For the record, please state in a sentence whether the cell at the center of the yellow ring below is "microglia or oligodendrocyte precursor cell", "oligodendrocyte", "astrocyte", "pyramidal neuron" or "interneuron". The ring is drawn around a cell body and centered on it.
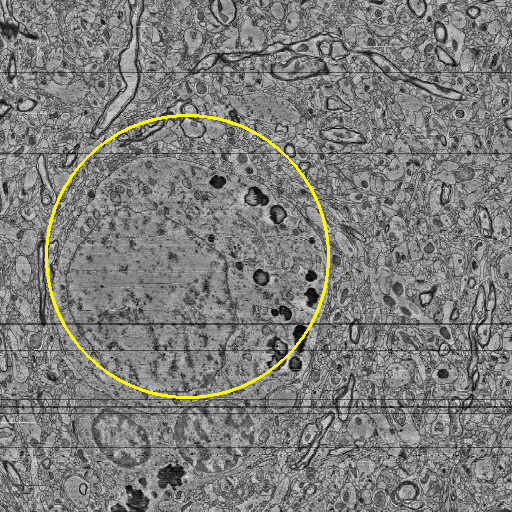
The cell at the ring's center is a pyramidal neuron.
